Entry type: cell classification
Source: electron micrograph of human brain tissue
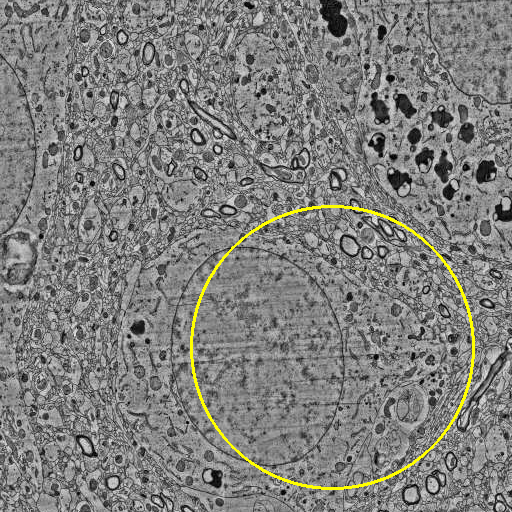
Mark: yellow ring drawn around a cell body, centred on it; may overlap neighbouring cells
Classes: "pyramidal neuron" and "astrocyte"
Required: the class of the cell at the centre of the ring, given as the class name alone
pyramidal neuron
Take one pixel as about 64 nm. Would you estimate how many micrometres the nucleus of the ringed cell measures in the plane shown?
The nucleus comes to roughly 14 by 11 micrometres in this plane.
